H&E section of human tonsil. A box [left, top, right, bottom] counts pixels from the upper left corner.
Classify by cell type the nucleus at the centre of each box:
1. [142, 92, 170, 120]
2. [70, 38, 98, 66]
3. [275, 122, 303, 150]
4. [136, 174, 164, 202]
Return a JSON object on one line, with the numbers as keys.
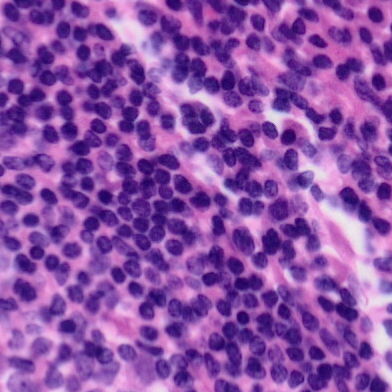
{"1": "small lymphocyte", "2": "small lymphocyte", "3": "plasma cell", "4": "small lymphocyte"}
